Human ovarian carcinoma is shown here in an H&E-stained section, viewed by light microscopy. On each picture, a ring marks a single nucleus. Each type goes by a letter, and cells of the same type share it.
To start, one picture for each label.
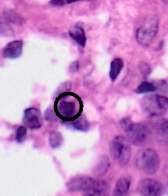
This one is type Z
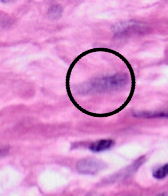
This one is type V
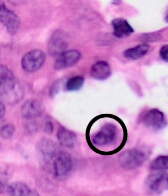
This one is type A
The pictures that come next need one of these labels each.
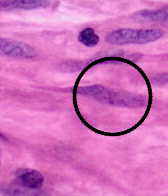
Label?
type V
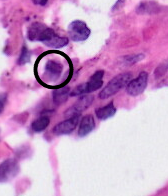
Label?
type Z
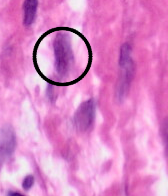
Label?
type V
